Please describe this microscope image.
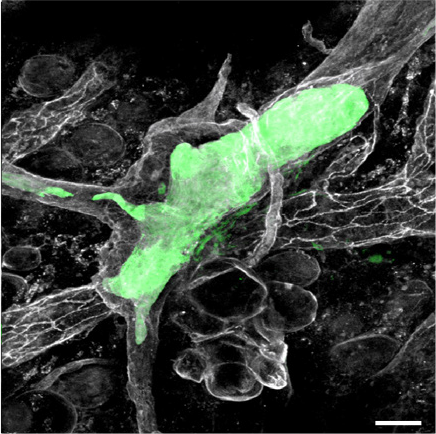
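Finer white-outlined vessels branch around it. Groups of rounded white-outlined profiles, resembling fat cells, lie below the clotted vessel.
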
